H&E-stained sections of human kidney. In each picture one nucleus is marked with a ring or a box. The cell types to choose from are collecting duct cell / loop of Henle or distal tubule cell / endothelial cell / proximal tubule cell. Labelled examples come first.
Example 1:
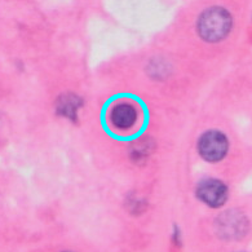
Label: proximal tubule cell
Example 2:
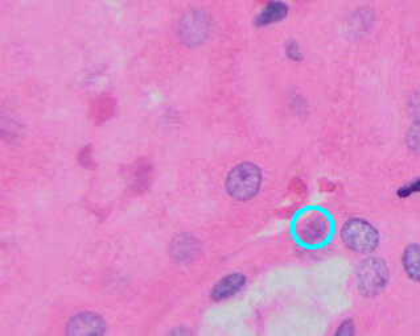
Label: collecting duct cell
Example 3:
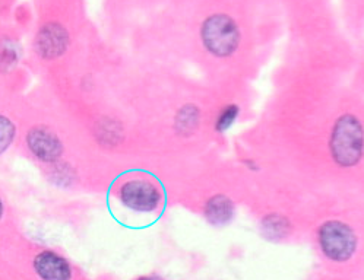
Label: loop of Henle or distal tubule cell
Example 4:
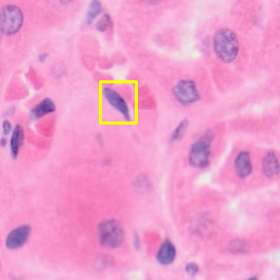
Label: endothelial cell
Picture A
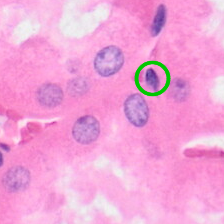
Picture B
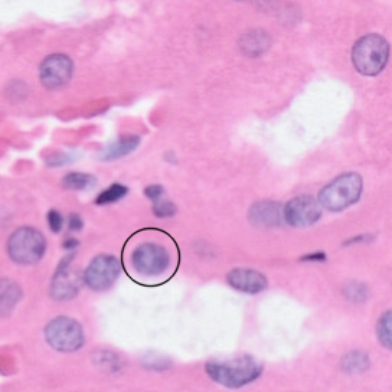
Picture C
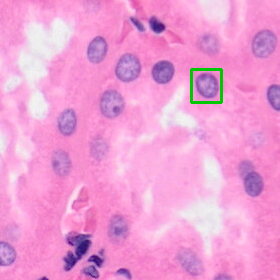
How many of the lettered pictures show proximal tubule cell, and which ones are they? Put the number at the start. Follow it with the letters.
1, namely C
